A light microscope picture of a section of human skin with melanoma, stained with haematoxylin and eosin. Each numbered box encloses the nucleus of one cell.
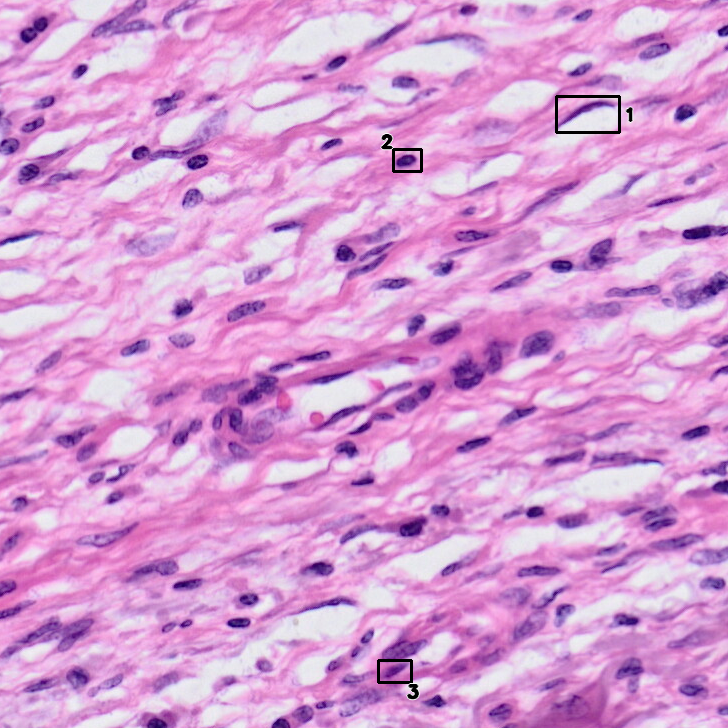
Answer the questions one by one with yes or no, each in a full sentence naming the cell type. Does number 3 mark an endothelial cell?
Yes, the marked cell with number 3 is an endothelial cell.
